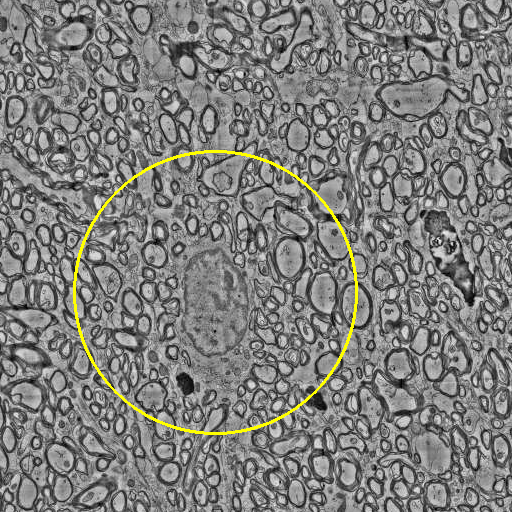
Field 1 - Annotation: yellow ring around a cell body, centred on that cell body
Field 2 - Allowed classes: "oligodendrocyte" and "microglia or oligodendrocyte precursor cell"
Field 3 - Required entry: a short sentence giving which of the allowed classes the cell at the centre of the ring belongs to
The centred cell is an oligodendrocyte.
